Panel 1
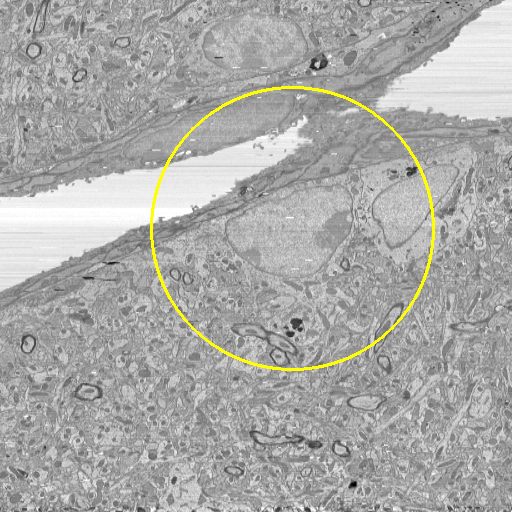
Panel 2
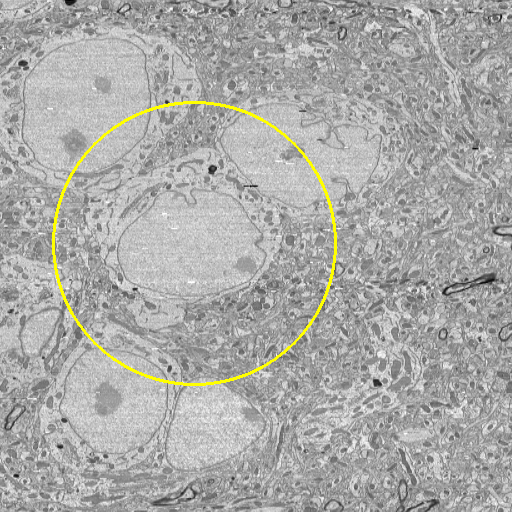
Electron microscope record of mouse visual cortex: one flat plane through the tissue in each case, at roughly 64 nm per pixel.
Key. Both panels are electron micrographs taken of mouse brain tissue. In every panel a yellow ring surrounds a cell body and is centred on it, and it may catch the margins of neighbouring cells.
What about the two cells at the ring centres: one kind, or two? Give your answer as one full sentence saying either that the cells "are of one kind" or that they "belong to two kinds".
Across Panels 1 and 2, the two cells at the ring centres belong to two kinds.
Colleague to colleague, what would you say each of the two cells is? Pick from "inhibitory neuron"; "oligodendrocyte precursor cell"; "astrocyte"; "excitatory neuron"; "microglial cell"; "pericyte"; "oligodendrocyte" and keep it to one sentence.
The cell in the first picture is an astrocyte; the second picture's cell is an excitatory neuron.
